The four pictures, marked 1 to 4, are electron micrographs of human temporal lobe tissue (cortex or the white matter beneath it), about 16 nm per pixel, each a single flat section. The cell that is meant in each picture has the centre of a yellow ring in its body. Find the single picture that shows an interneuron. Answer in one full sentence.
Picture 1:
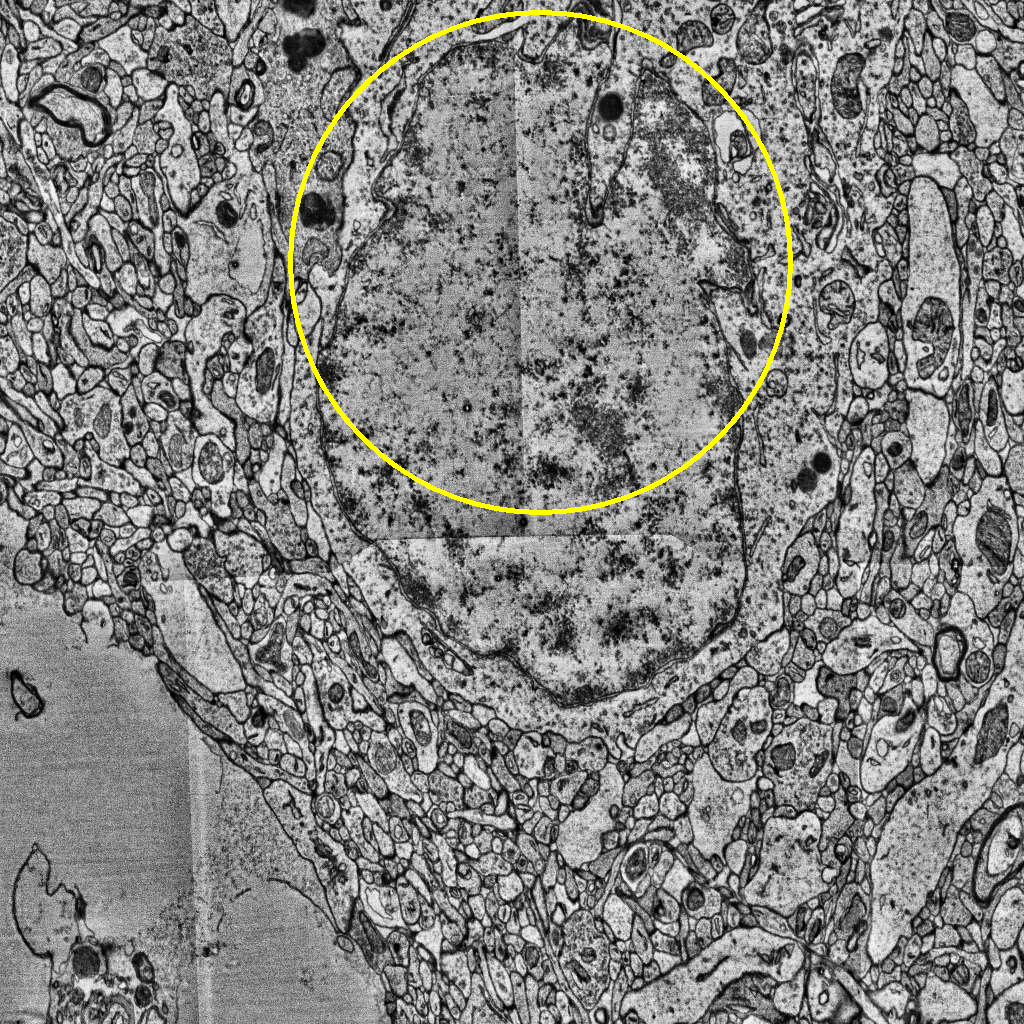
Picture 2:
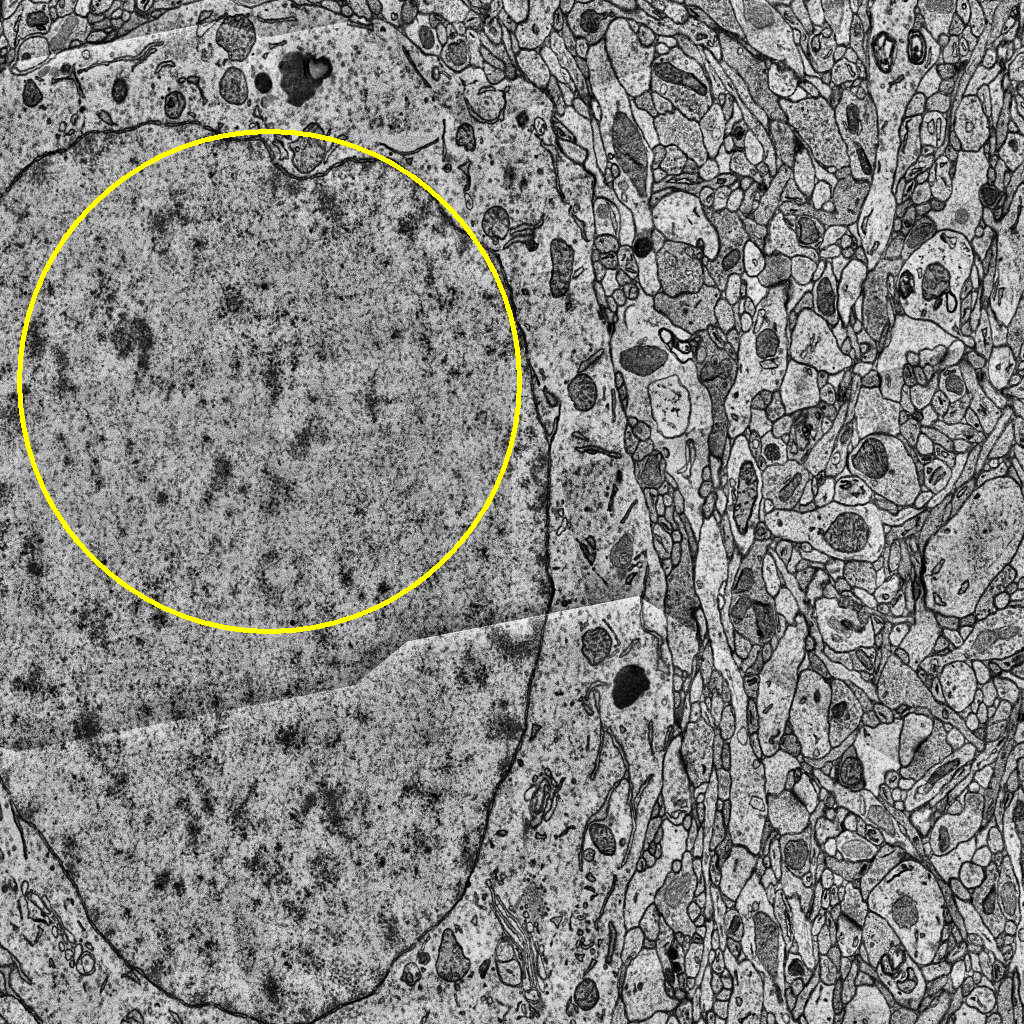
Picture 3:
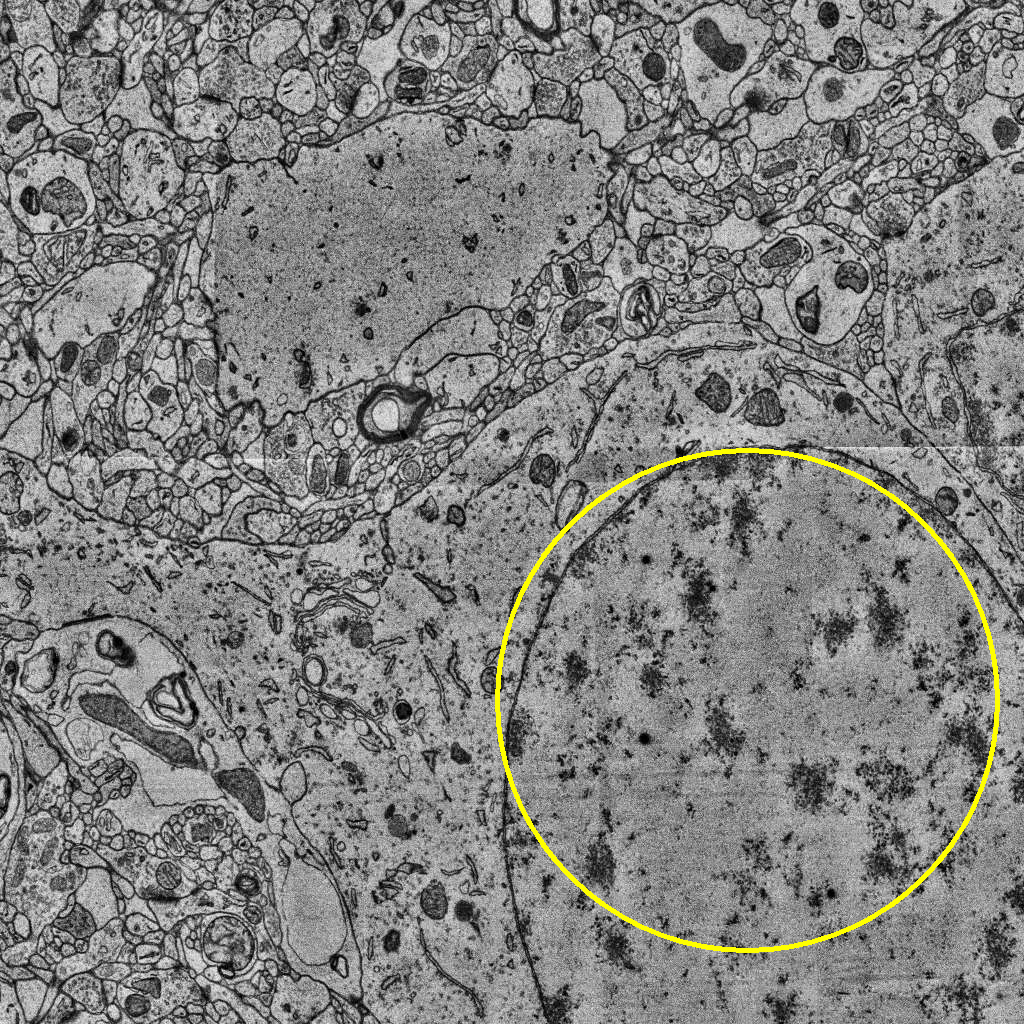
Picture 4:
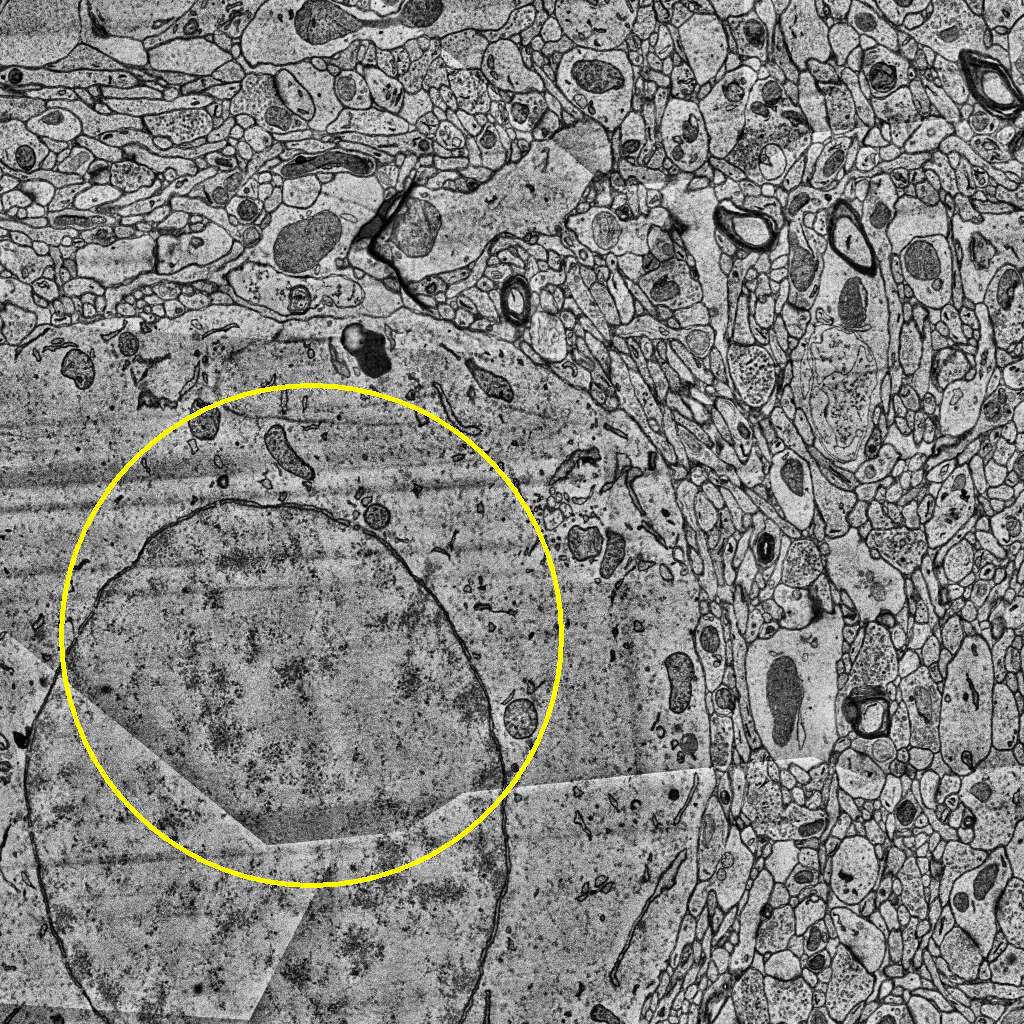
Picture 1 shows the interneuron.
